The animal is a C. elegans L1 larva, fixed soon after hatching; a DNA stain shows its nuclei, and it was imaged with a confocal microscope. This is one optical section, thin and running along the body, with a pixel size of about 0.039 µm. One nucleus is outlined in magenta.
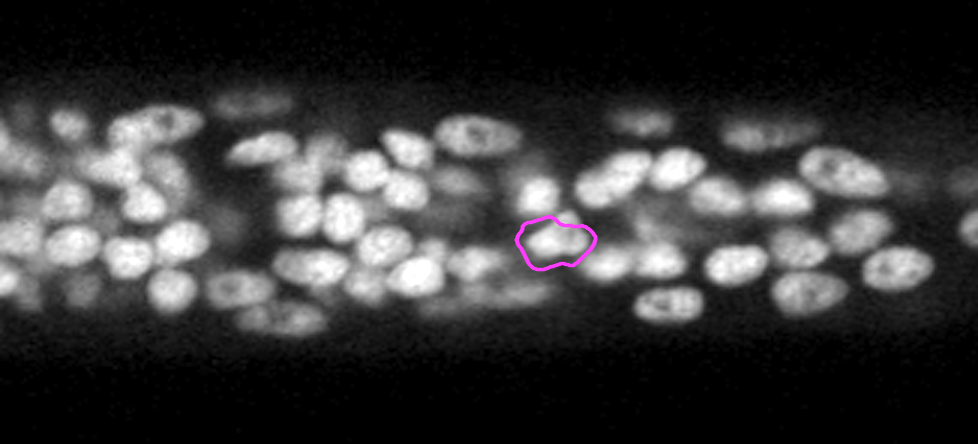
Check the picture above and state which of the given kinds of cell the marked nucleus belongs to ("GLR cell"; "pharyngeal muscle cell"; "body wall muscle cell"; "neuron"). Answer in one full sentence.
What is marked is the nucleus of a pharyngeal muscle cell.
